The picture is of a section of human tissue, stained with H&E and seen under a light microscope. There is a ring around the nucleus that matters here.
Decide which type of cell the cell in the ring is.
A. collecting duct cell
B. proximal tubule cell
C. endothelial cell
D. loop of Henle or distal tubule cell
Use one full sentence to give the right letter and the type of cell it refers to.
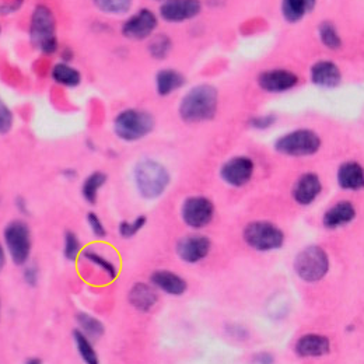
In this case the cell in the ring is an endothelial cell, so option C is correct.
